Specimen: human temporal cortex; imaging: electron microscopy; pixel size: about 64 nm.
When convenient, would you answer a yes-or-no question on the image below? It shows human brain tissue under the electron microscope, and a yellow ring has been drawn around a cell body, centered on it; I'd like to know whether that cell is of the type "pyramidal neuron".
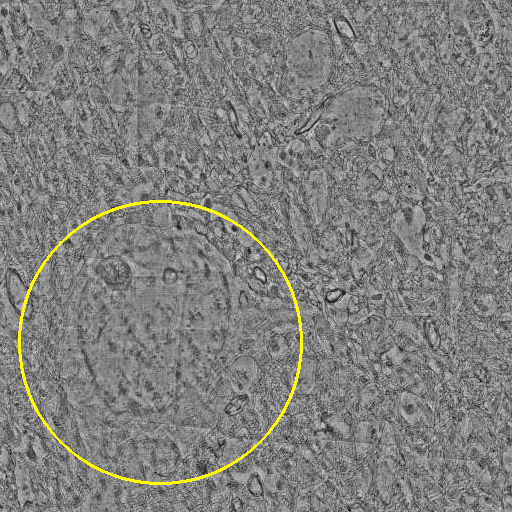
no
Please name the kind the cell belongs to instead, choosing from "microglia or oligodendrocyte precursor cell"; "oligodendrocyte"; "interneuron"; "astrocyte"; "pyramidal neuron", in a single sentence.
The cell enclosed by the ring is an interneuron.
